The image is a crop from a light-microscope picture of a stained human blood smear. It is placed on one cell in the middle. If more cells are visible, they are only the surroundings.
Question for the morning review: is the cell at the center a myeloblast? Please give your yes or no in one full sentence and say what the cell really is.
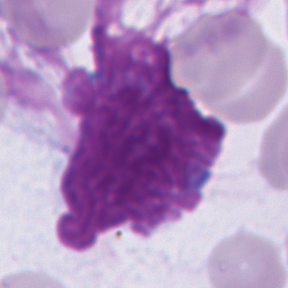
No, it is not a myeloblast that lies in the middle but a smudge cell.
